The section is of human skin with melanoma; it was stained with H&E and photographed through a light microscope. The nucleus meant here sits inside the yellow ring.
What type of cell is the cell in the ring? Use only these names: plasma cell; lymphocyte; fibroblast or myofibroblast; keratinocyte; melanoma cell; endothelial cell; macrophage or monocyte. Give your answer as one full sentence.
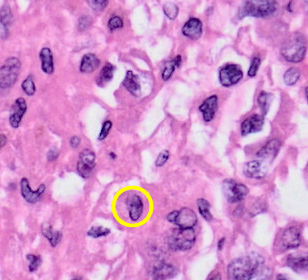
As for its identity, the cell in the ring is a macrophage or monocyte.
